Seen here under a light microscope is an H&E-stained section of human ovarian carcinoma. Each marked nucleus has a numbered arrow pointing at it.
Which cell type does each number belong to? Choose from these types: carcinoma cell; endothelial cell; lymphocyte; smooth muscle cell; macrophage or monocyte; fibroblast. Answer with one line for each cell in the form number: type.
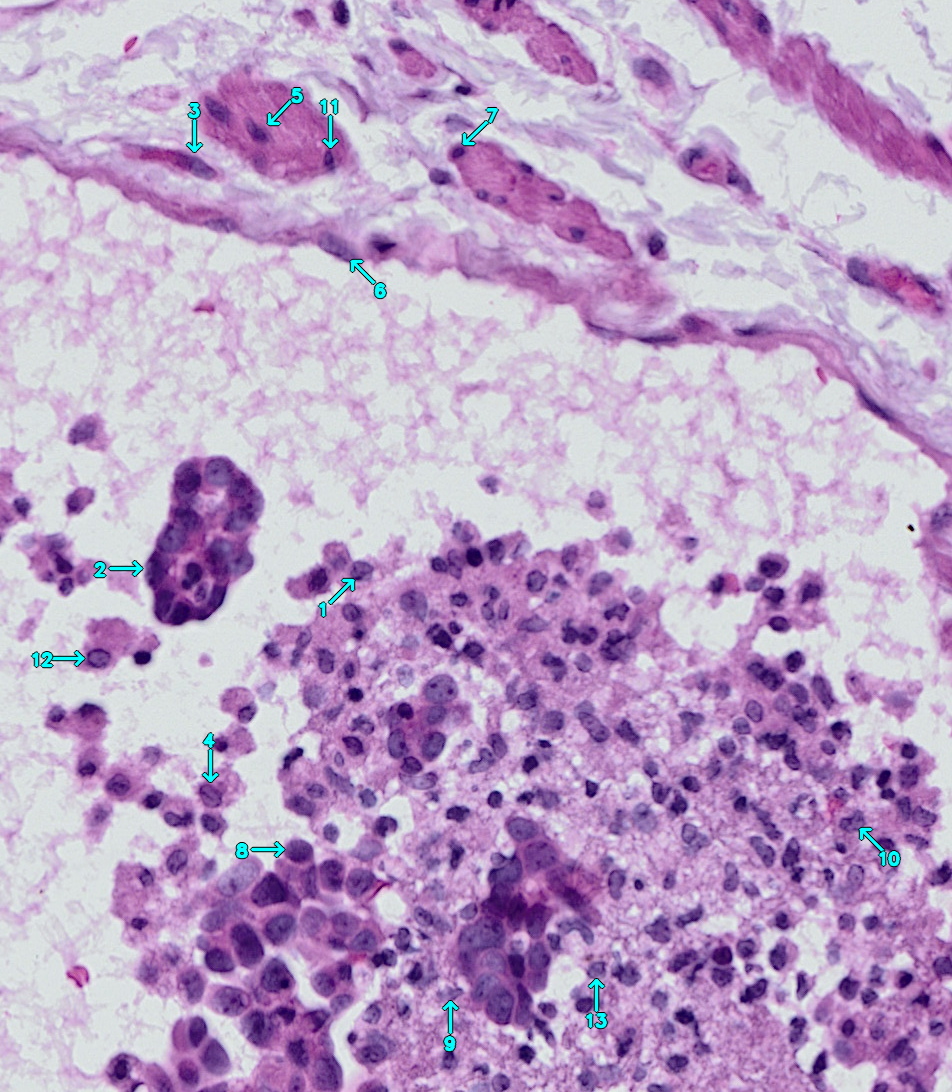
1: macrophage or monocyte
2: carcinoma cell
3: endothelial cell
4: macrophage or monocyte
5: smooth muscle cell
6: endothelial cell
7: smooth muscle cell
8: carcinoma cell
9: macrophage or monocyte
10: macrophage or monocyte
11: smooth muscle cell
12: macrophage or monocyte
13: macrophage or monocyte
